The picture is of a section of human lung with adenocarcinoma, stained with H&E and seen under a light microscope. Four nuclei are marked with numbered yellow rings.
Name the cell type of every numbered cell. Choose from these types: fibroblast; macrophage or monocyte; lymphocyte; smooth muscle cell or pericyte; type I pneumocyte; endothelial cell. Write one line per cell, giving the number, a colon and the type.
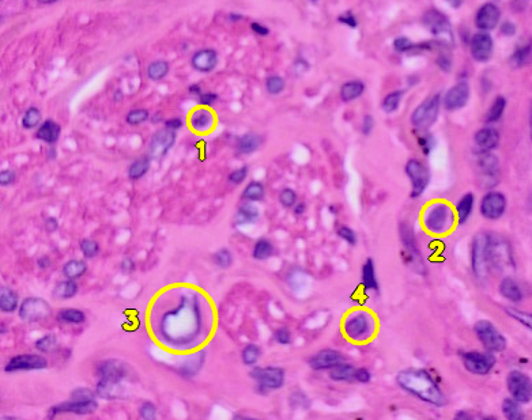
1: smooth muscle cell or pericyte
2: lymphocyte
3: endothelial cell
4: smooth muscle cell or pericyte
